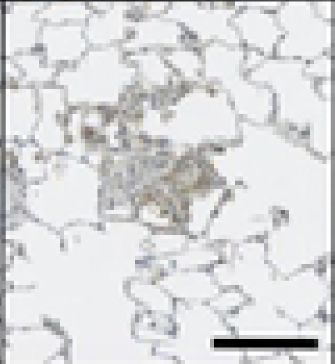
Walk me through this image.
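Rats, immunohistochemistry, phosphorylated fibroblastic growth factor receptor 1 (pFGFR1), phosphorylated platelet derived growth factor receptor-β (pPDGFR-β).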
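This is a small pulmonary artery in the lung, seen among thin alveolar walls. Its lumen is no longer open but filled by a crowded mass of cells with blue nuclei, and brown stain lies through this mass. The surrounding alveolar septa are thin and only faintly stained.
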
